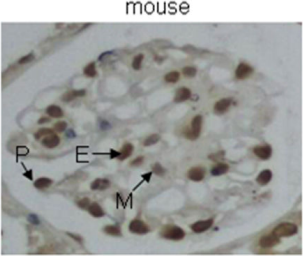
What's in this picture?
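A rounded glomerular tuft sits within a thin capsule, made of delicate open capillary loops with nuclei scattered throughout. Nuclei on the outer surface of the loops facing the capsular space fit podocytes, those lining the capillary lumens fit endothelial cells, and those in the stalk-like centres between loops fit mesangial cells.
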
